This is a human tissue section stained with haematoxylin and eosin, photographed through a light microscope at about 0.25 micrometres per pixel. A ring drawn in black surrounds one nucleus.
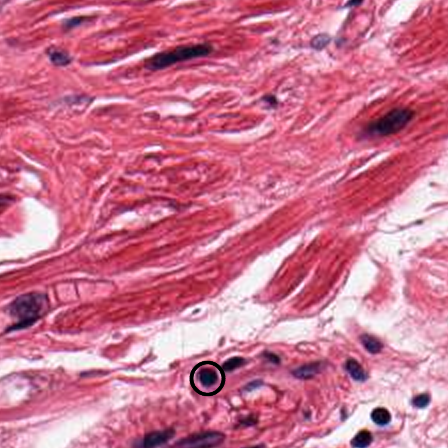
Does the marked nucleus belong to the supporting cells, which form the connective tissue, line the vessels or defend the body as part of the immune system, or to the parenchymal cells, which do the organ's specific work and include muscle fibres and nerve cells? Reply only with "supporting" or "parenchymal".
supporting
